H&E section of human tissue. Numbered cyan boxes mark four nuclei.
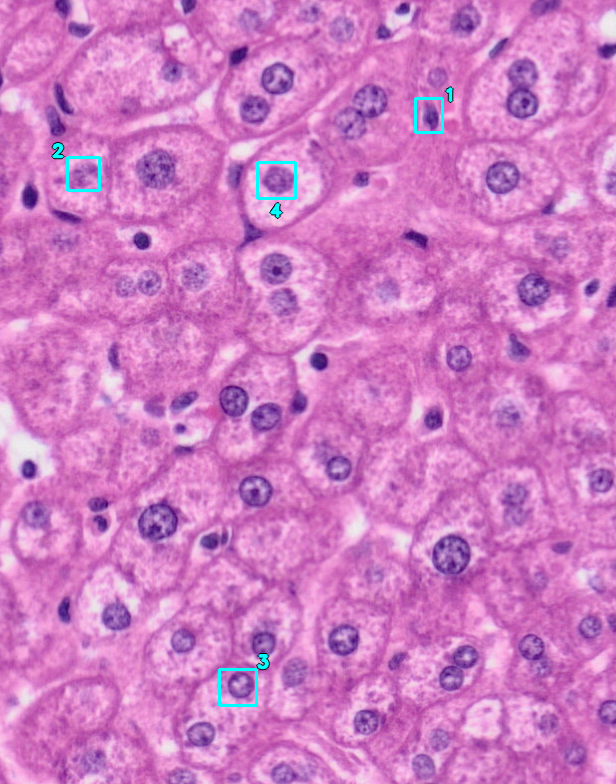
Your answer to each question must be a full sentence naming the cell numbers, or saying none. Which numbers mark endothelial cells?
Only cell 1 is an endothelial cell; none of the other numbered cells is.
